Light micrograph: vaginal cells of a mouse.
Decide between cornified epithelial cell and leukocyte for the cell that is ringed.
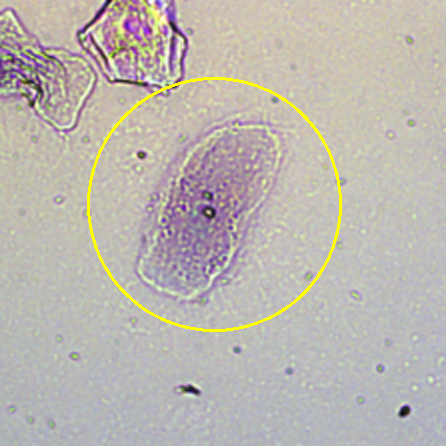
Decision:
I take the ringed cell for a cornified epithelial cell.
